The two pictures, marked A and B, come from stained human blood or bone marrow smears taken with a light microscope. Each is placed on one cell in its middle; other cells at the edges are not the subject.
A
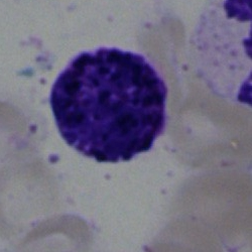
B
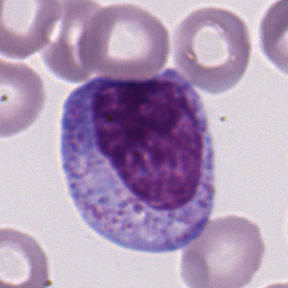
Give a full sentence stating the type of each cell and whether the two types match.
No, crop A matches a basophil and crop B matches a promyelocyte.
